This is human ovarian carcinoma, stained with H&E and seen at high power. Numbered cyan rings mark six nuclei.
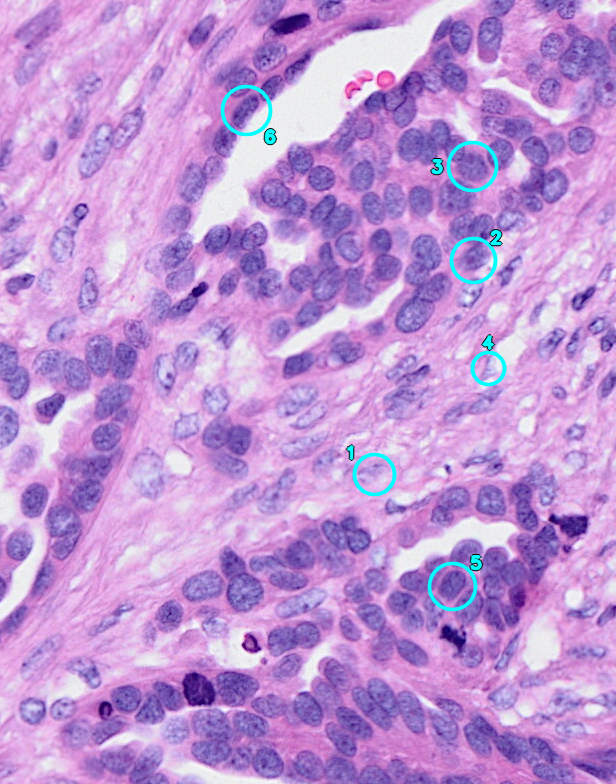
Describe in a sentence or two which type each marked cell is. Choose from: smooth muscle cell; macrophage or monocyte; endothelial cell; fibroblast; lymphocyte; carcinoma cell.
Cell 1 is a fibroblast, cell 2 is a carcinoma cell, cell 3 is a carcinoma cell, cell 4 is a fibroblast, cell 5 is a carcinoma cell and cell 6 is a carcinoma cell.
